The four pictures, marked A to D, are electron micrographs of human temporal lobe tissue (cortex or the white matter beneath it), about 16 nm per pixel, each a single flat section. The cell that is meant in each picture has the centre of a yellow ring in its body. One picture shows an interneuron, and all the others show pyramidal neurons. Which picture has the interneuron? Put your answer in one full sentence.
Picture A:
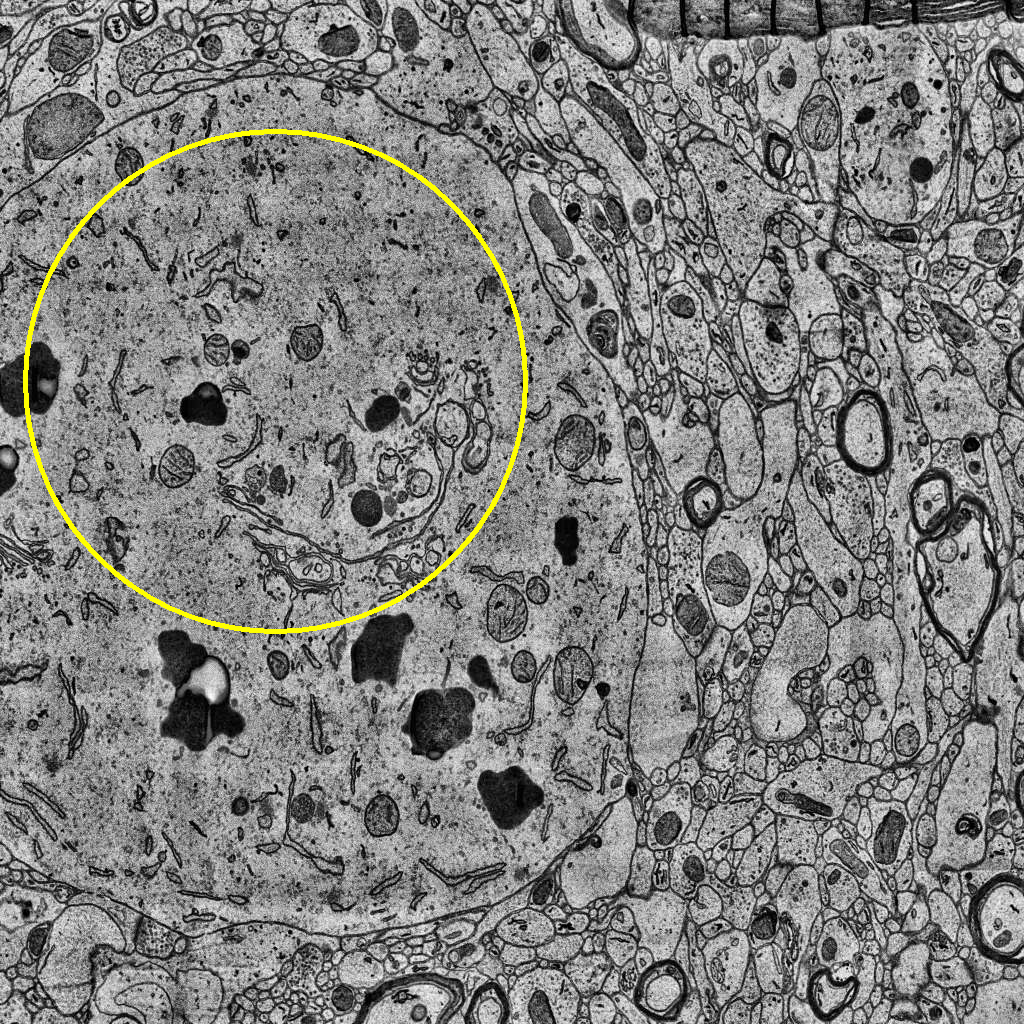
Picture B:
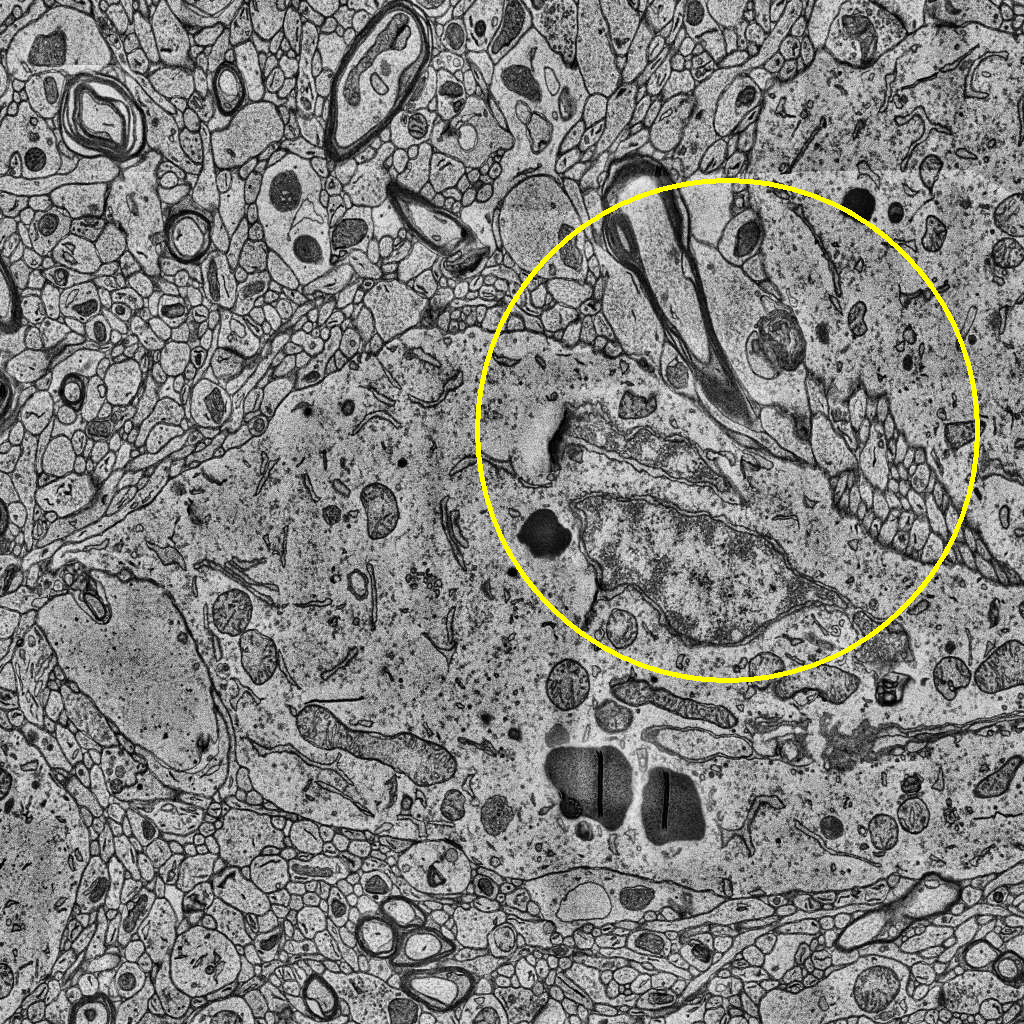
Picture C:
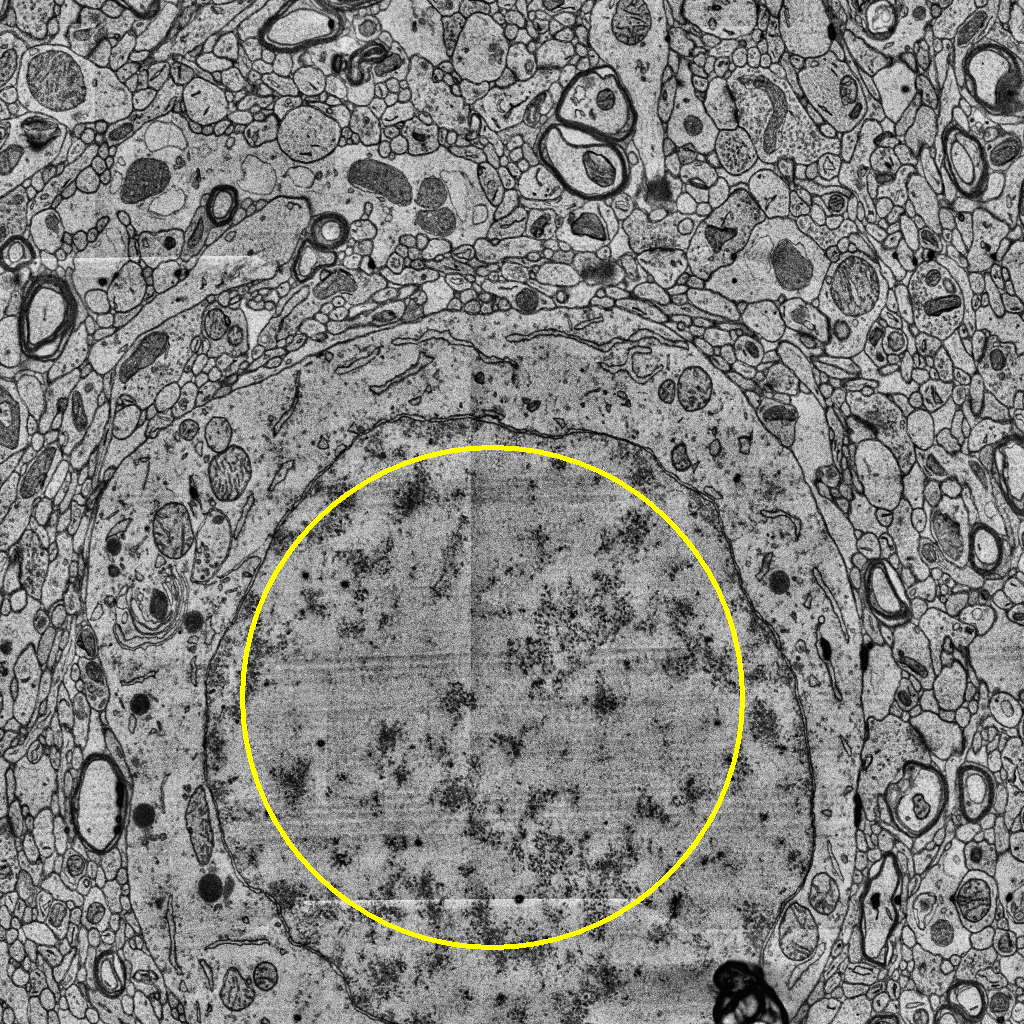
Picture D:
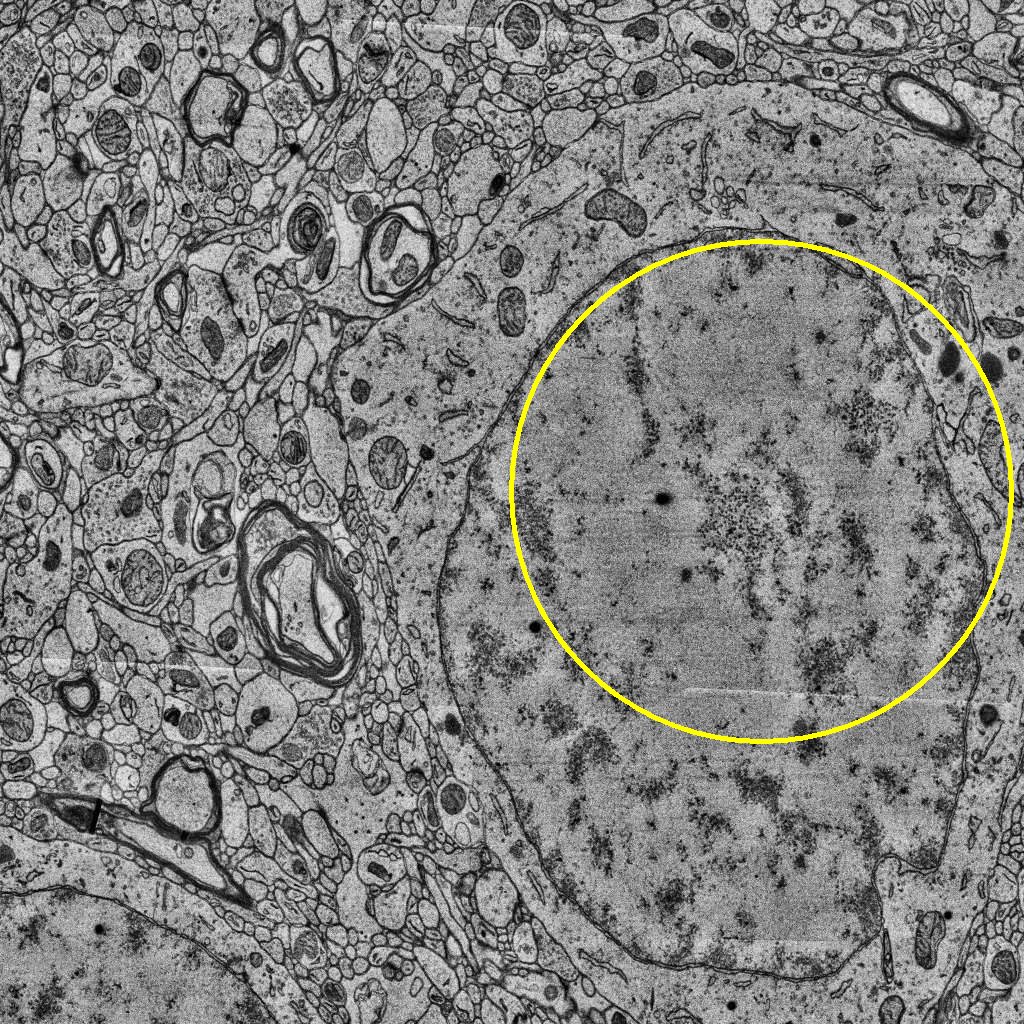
Picture B is the one that shows the interneuron.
